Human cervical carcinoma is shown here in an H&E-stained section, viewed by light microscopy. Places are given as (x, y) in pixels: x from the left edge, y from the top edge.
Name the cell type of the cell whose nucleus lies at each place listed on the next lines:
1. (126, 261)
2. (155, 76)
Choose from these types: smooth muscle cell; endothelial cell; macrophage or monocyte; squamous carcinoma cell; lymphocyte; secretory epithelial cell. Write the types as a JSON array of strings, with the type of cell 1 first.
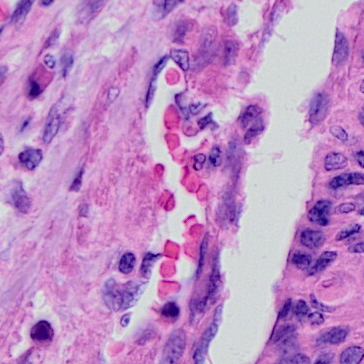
["lymphocyte", "endothelial cell"]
